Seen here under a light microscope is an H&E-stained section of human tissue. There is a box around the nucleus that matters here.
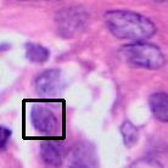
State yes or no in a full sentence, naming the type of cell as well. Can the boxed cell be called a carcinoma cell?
Yes, as far as cell type goes, the boxed cell is a carcinoma cell.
